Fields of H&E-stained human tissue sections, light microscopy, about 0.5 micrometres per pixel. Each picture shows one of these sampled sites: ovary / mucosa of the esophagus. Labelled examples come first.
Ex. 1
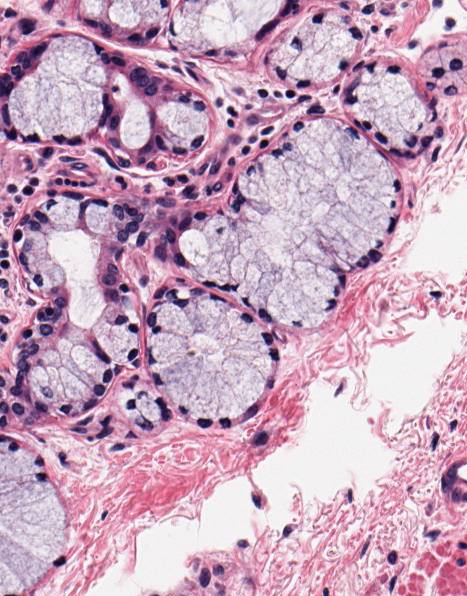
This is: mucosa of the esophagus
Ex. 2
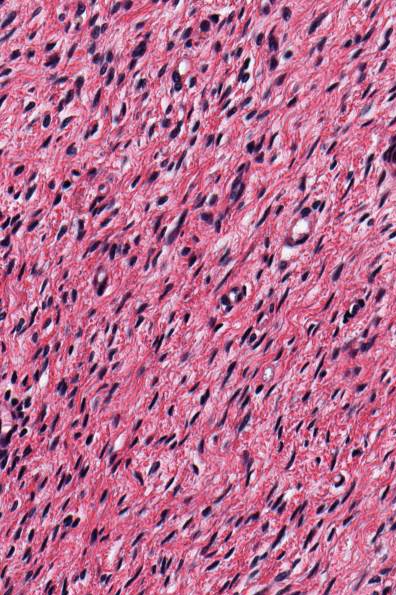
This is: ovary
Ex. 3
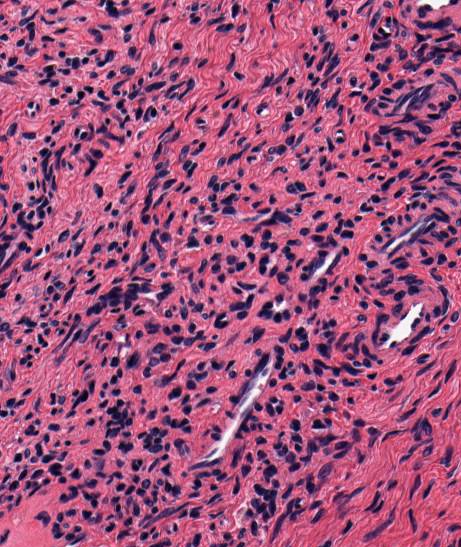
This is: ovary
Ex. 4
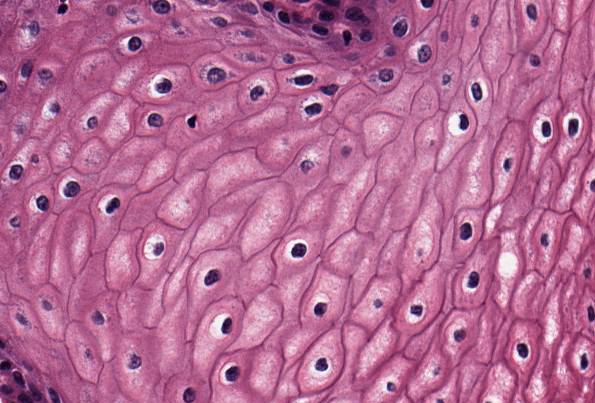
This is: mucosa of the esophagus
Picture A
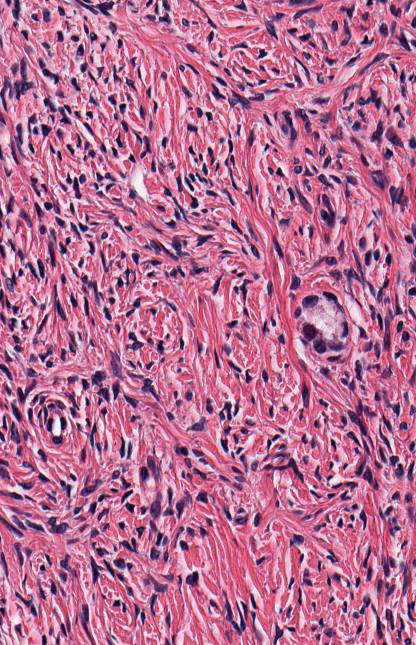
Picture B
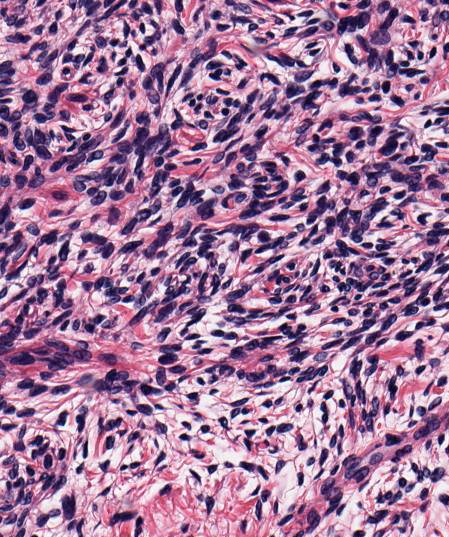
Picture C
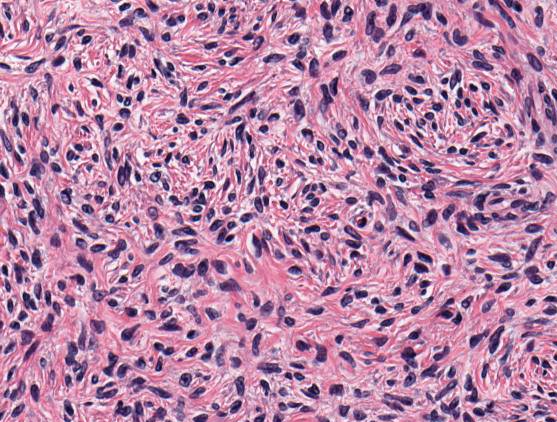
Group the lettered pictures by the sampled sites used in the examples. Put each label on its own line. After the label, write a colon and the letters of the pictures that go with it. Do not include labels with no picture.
ovary: A, B, C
